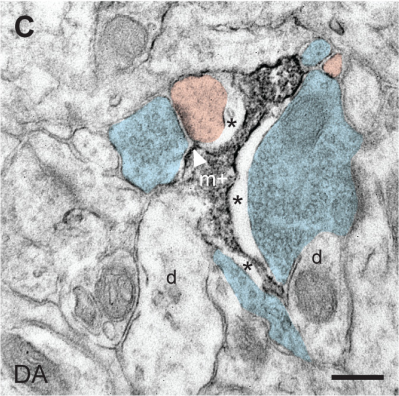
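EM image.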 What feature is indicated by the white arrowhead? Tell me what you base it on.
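Synaptic clefts. The white arrowhead points to a narrow gap between two apposed profiles next to the dark process.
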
